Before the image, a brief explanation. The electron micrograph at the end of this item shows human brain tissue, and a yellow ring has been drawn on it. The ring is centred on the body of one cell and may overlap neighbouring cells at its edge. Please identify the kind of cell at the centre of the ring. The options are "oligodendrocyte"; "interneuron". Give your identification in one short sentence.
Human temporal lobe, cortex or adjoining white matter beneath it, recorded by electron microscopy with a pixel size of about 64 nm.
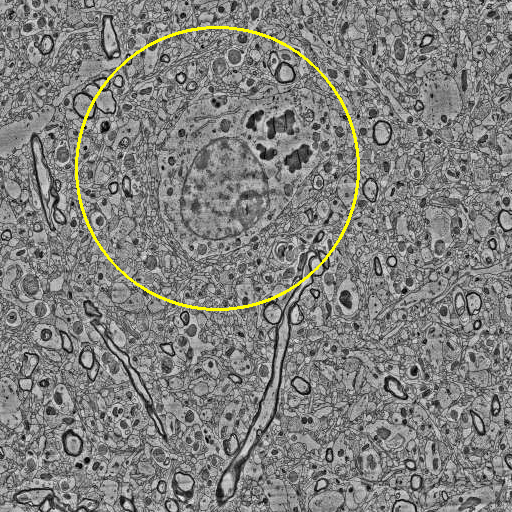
The ring has been placed around an interneuron.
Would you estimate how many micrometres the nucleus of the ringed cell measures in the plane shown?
About 7 by 6 micrometers for the nucleus, in this plane.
